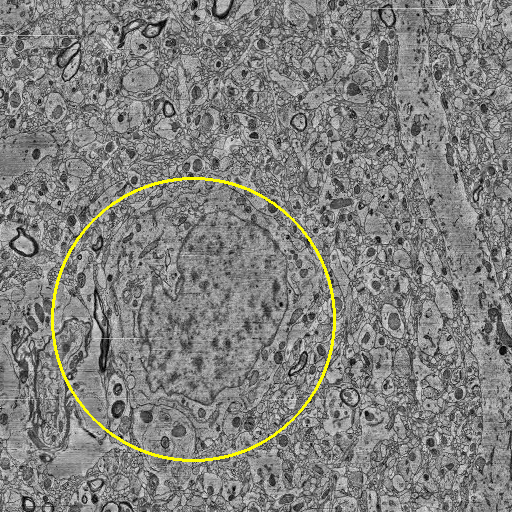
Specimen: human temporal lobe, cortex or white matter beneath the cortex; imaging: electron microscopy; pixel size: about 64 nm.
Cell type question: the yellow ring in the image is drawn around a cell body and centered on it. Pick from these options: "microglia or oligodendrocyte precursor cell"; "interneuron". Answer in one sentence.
The ringed cell at the center is an interneuron.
